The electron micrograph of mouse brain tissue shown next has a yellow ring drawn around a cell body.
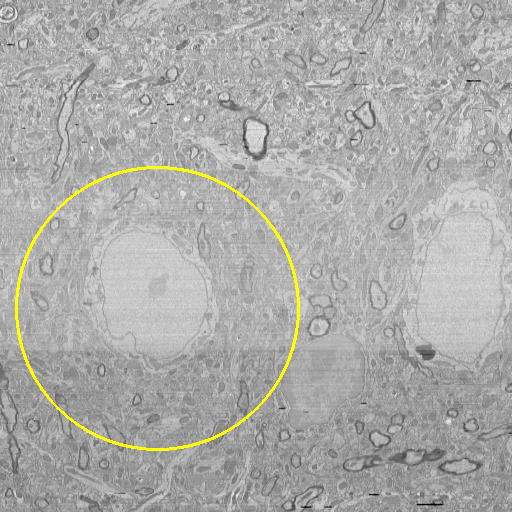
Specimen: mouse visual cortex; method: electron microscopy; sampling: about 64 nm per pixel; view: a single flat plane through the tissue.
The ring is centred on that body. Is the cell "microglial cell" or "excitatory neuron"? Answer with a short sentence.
The cell in question is an excitatory neuron.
